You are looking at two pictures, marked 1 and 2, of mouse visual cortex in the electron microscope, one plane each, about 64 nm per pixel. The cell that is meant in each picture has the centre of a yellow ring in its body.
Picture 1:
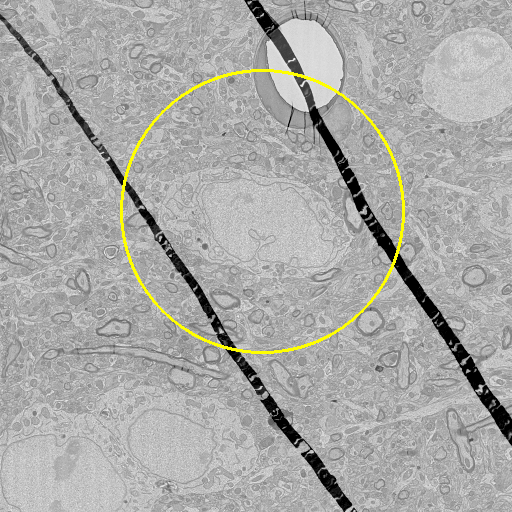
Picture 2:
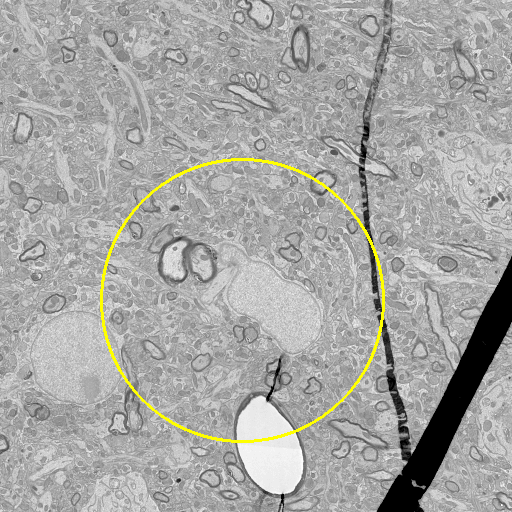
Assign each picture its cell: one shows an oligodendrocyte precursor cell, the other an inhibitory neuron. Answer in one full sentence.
The cell in picture 1 is an inhibitory neuron, and the one in picture 2 is an oligodendrocyte precursor cell.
